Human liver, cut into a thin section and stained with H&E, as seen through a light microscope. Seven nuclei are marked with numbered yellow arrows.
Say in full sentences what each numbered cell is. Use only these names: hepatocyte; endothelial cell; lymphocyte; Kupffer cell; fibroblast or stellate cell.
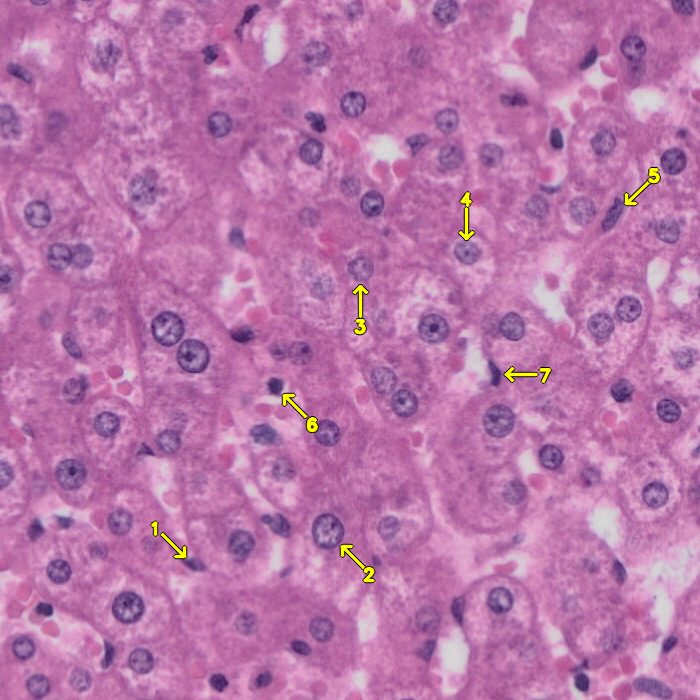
Cell 1 is an endothelial cell. Cells 2, 3 and 4 are hepatocytes. Cell 5 is a Kupffer cell. Cell 6 is a lymphocyte. Cell 7 is a fibroblast or stellate cell.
